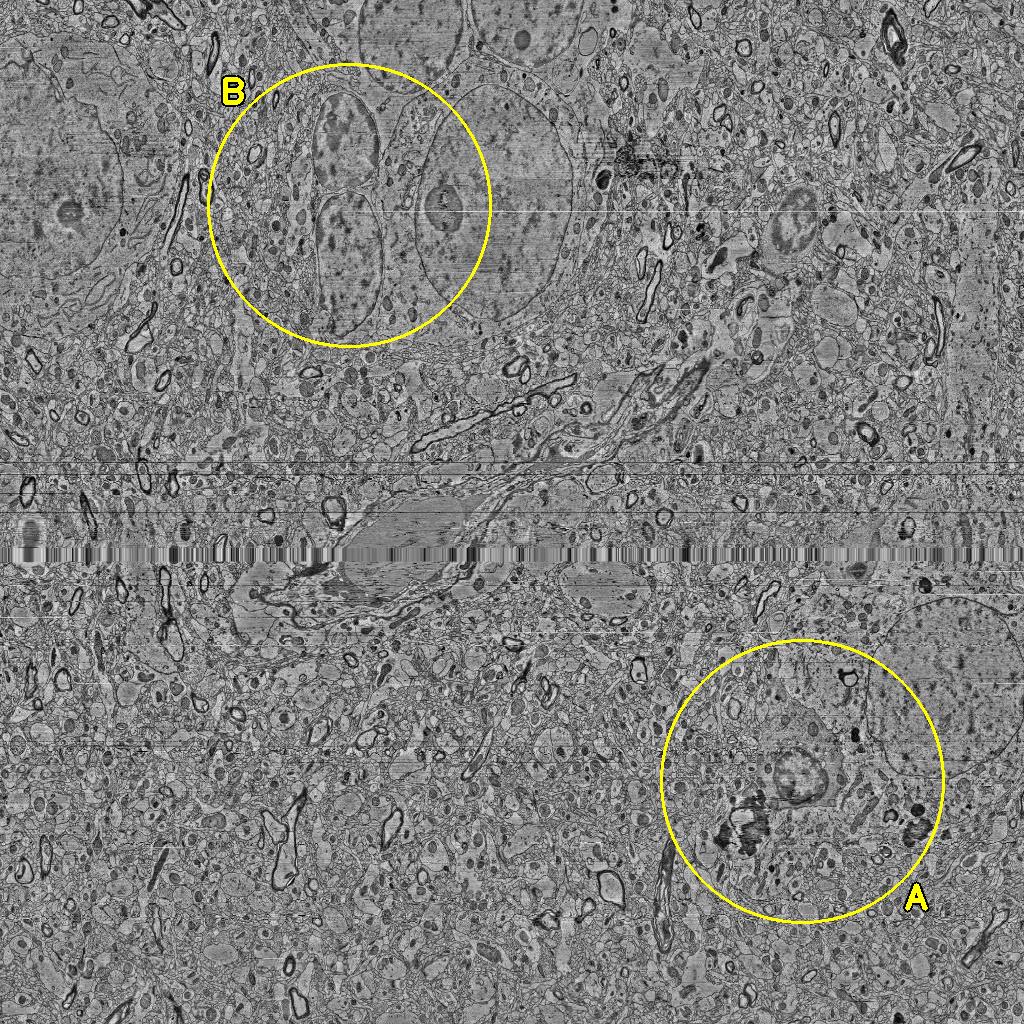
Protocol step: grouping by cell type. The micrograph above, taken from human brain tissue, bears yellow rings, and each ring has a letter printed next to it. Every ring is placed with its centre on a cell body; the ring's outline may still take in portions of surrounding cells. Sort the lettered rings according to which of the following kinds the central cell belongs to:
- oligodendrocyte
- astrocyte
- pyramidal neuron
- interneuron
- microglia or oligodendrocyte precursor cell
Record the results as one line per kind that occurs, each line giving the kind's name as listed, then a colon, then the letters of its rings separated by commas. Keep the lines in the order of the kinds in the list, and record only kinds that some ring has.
oligodendrocyte: A
microglia or oligodendrocyte precursor cell: B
